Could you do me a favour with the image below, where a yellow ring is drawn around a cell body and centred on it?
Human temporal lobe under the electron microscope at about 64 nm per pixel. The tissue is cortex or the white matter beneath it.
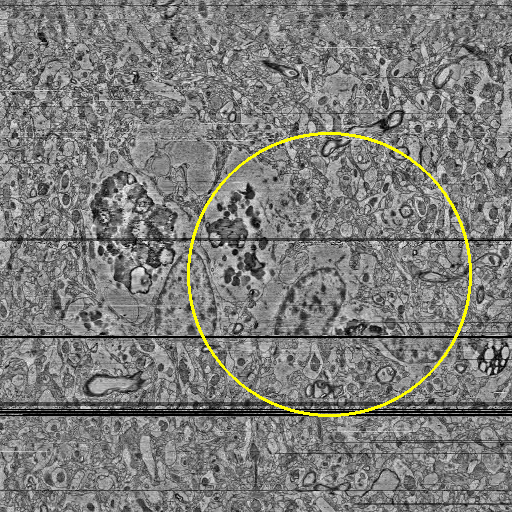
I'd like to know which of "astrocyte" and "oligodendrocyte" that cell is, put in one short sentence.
The cell at the ring's centre is an astrocyte.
